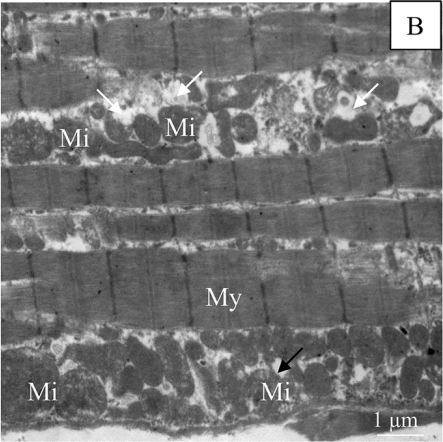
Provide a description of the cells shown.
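Longitudinal section of a skeletal muscle fibre rich in mitochondria. Parallel myofibrils show regular sarcomeres crossed by dark Z lines. Between myofibrils and beneath the fibre surface lie large clusters of rounded, dense mitochondria. Several mitochondria contain pale, cleared areas, and pale spaces separate the mitochondria within the clusters.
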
